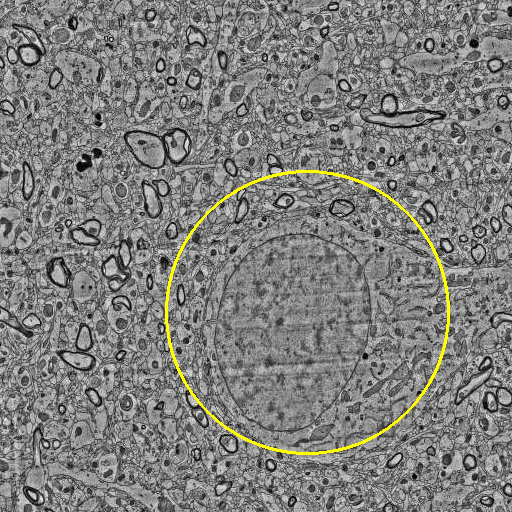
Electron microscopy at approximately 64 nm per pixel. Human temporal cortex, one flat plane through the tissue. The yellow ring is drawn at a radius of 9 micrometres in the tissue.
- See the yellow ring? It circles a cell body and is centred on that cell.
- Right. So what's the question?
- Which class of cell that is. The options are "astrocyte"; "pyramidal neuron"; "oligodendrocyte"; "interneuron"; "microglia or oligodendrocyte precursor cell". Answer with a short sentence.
The centre of the ring holds a pyramidal neuron.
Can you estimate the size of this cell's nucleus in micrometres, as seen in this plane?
Approximately 13 by 10 micrometers in this plane.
